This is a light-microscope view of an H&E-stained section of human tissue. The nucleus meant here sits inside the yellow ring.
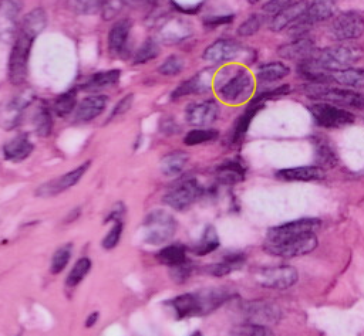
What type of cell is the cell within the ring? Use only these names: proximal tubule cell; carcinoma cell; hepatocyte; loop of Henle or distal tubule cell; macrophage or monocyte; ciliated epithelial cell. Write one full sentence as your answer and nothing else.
It is as a ciliated epithelial cell that the cell within the ring is classified.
